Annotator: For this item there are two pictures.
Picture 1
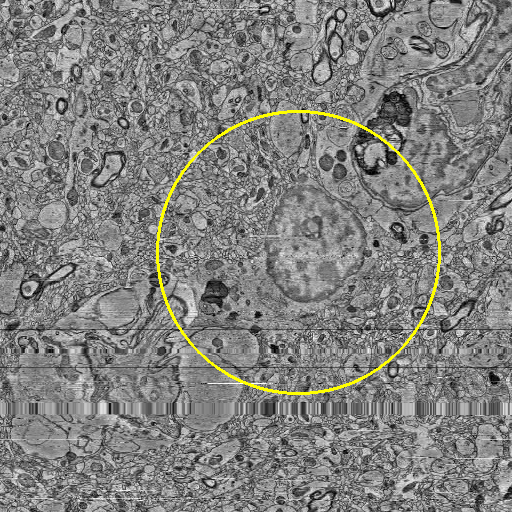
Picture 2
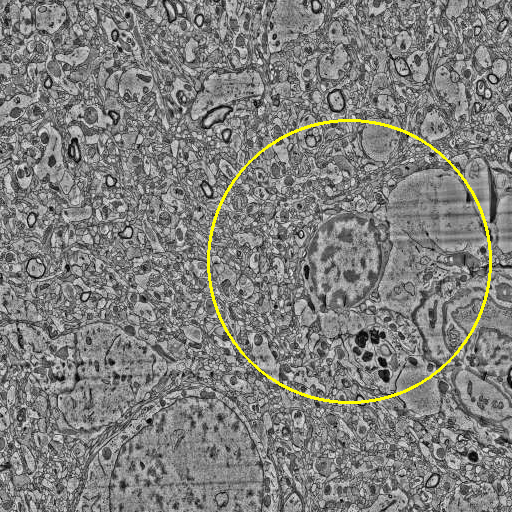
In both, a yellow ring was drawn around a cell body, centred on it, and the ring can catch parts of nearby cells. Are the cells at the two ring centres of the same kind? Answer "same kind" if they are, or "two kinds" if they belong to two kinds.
same kind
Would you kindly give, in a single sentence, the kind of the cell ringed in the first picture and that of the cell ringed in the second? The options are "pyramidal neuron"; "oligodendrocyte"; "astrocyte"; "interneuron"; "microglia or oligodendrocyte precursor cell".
Each cell, in the first picture and the second, is an oligodendrocyte.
